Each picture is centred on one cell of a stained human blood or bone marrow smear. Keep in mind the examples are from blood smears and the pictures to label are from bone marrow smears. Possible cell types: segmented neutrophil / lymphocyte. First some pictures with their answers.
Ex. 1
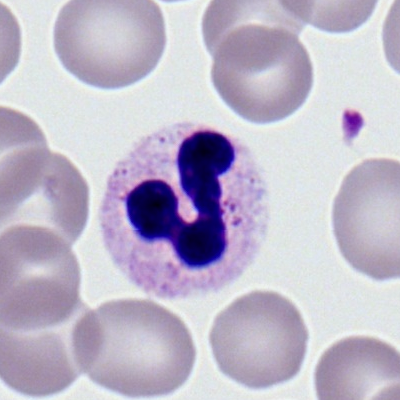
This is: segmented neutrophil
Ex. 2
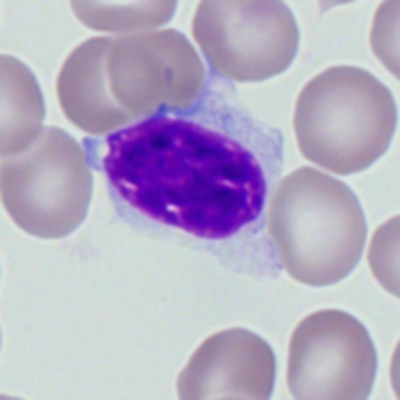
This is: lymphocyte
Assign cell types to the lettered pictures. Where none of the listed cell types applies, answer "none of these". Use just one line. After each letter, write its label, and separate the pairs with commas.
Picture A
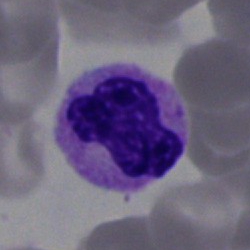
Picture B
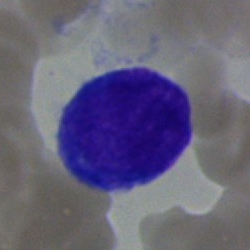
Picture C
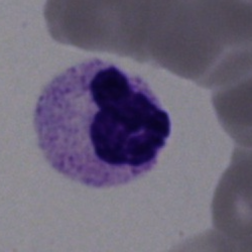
A segmented neutrophil, B none of these, C segmented neutrophil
